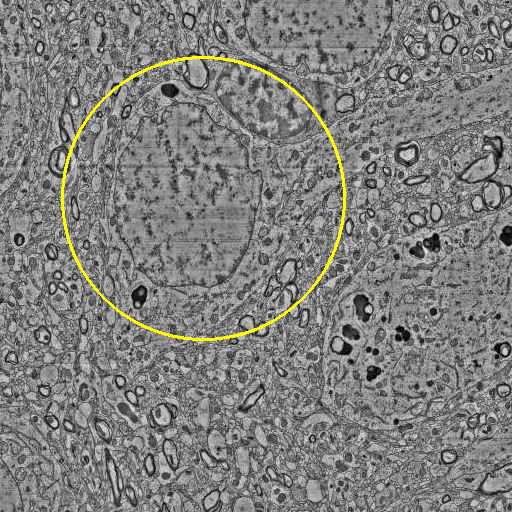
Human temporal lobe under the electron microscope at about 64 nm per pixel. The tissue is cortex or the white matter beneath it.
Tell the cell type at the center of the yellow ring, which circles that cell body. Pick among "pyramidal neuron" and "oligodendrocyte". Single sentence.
The ring is centered on the body of a pyramidal neuron.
